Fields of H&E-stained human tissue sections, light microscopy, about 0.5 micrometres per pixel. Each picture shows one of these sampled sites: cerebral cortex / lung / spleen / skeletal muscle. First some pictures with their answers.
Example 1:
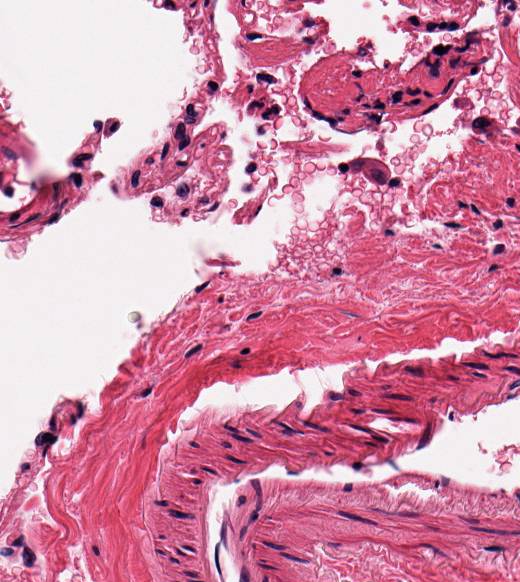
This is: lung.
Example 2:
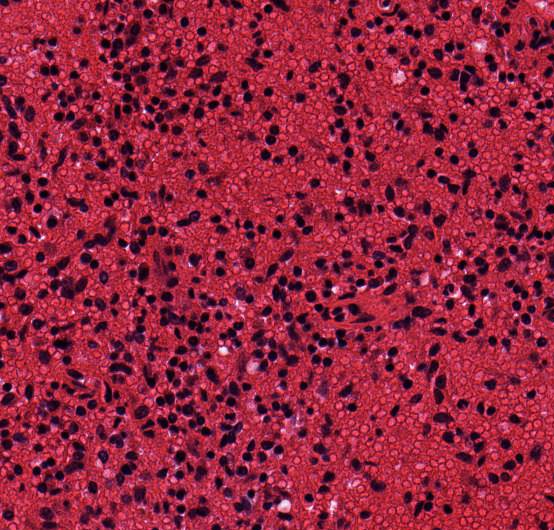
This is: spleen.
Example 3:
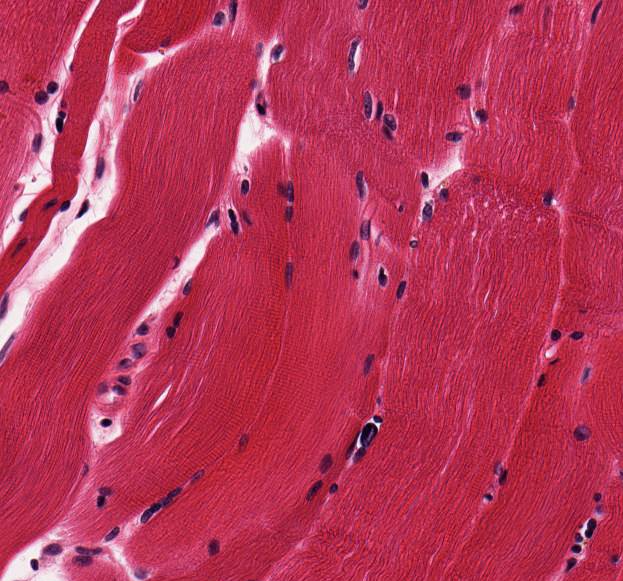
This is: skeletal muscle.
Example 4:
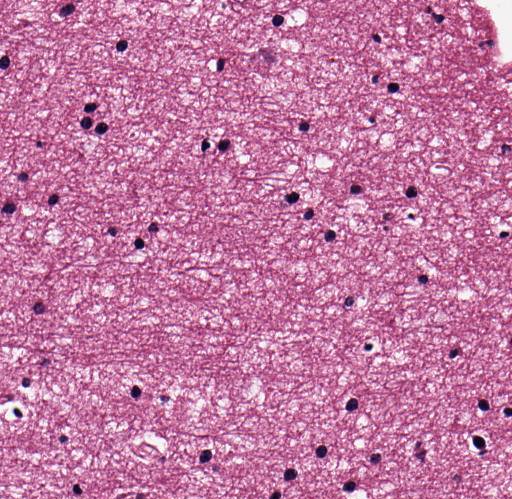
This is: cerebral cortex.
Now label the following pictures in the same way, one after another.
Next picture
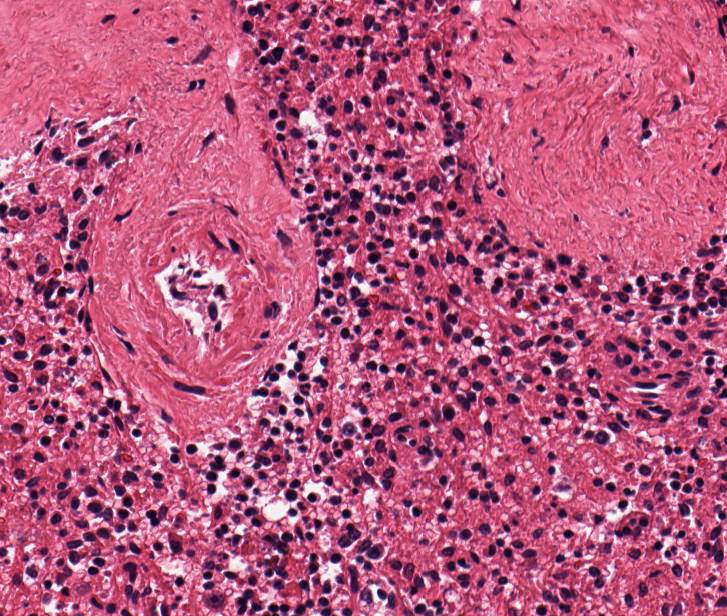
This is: spleen.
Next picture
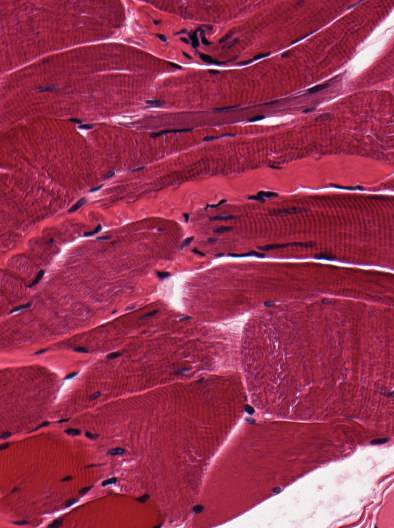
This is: skeletal muscle.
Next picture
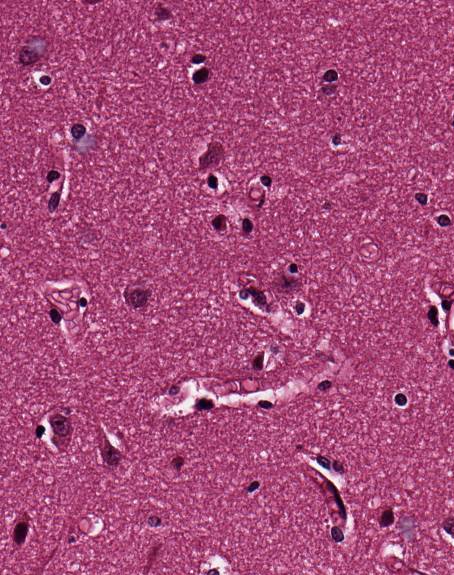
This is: cerebral cortex.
